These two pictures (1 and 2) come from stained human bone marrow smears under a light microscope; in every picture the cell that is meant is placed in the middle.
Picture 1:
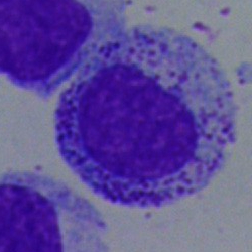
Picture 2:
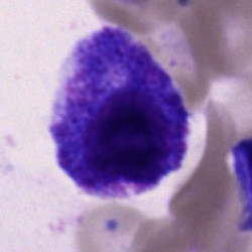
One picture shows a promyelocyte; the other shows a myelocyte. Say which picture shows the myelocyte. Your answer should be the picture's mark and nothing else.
1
